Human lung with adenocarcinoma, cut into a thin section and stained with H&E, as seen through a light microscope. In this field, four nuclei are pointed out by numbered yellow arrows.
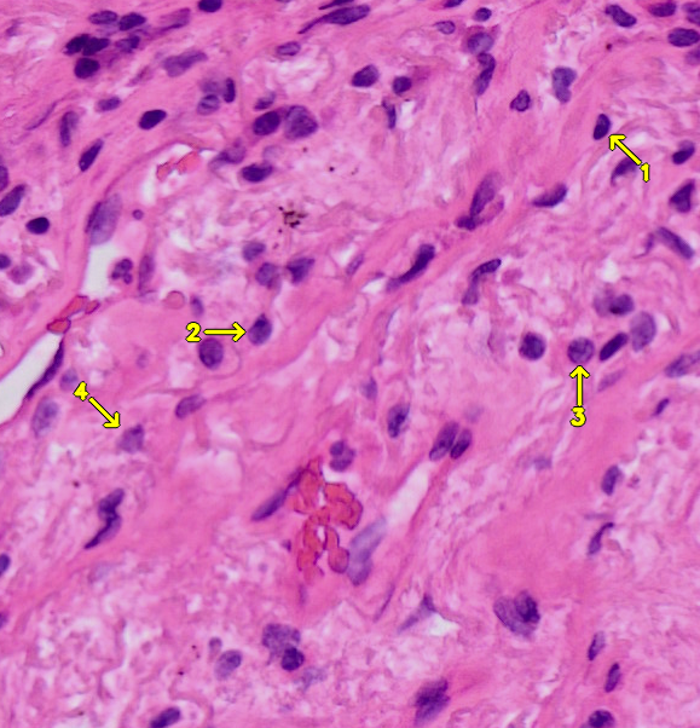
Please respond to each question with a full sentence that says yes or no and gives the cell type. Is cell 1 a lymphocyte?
Yes, that one, number 1, is a lymphocyte.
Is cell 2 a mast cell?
No, the cell carrying number 2 is a lymphocyte, not a mast cell.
